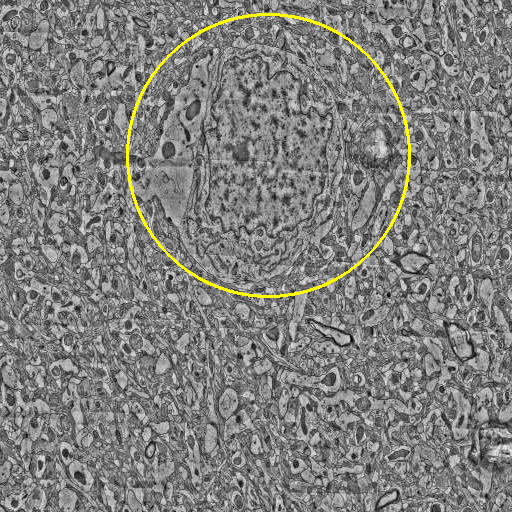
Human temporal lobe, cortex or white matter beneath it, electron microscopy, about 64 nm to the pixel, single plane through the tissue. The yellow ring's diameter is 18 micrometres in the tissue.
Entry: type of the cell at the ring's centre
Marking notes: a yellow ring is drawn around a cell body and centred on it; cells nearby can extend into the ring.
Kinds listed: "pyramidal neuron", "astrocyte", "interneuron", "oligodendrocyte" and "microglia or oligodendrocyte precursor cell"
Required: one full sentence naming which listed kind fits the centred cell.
My entry names an interneuron as the cell whose body the yellow ring centres on.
